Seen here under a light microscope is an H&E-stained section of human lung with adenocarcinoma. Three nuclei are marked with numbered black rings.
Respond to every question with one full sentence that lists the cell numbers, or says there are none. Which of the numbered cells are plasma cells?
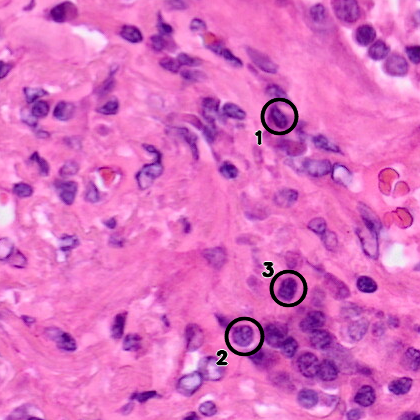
When it comes to cells 1 and 3, they are plasma cells.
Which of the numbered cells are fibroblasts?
Between them, the numbered cells include no fibroblasts.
